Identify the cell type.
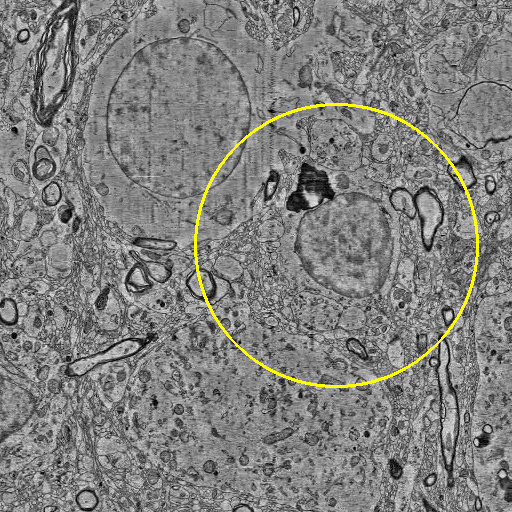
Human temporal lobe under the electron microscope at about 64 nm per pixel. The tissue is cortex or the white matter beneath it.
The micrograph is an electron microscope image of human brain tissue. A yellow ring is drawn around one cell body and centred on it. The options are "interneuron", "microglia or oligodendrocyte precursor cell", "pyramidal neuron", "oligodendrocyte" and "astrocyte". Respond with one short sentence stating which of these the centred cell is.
The cell body in the ring belongs to an oligodendrocyte.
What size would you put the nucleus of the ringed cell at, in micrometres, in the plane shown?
The nucleus appears roughly 7 by 6 micrometres in this plane.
